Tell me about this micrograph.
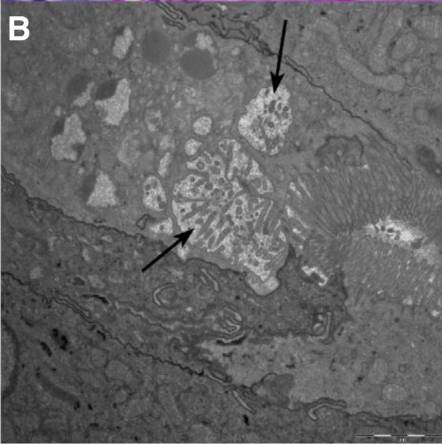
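An intestinal epithelial cell is shown with several rounded, pale inclusions in its cytoplasm that are lined by microvilli pointing into their lumen, so-called microvillus inclusions. Smaller pale irregular vacuole-like spaces lie nearby, and an apical microvillous border of a neighbouring surface is visible to one side.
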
